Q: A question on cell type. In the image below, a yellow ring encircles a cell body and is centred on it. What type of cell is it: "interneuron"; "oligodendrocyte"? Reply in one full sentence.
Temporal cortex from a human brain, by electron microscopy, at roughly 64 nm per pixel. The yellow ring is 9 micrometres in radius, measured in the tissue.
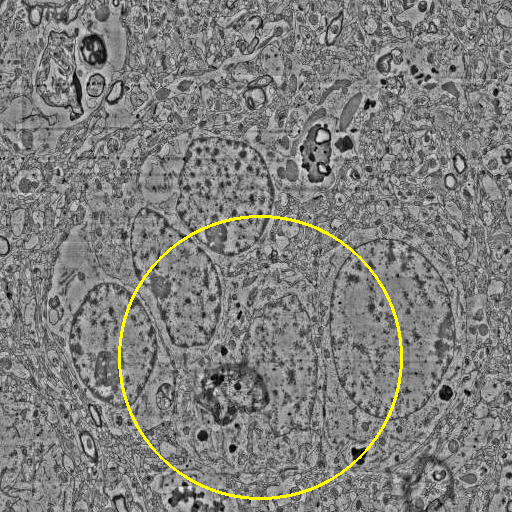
It is an interneuron whose cell body sits at the centre of the yellow ring in the image.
